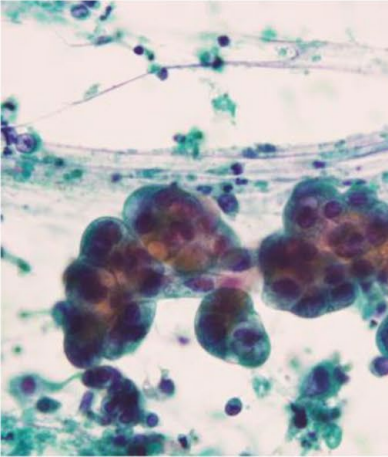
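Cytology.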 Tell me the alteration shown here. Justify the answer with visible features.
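Nuclei within the clusters differ in size and shape. Nuclei are large and dark relative to the cytoplasm. The answer: nuclear pleomorphism.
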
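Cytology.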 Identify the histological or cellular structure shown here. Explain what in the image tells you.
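Cells lie in crowded, three-dimensional groups rather than singly. The groups have knobby, bulging outlines. The answer: papillary cluster.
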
